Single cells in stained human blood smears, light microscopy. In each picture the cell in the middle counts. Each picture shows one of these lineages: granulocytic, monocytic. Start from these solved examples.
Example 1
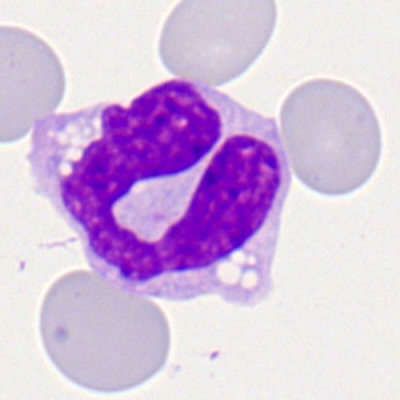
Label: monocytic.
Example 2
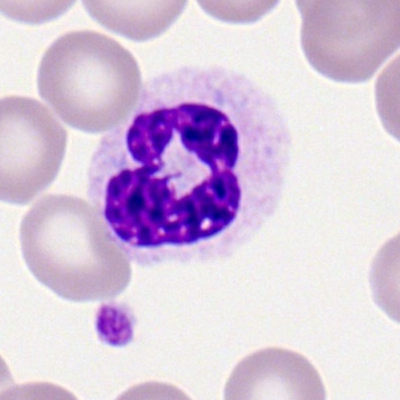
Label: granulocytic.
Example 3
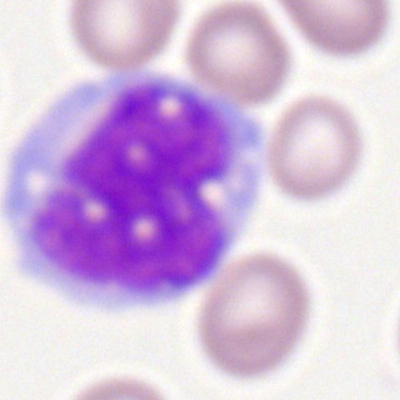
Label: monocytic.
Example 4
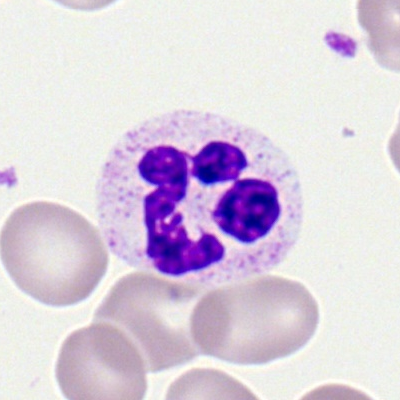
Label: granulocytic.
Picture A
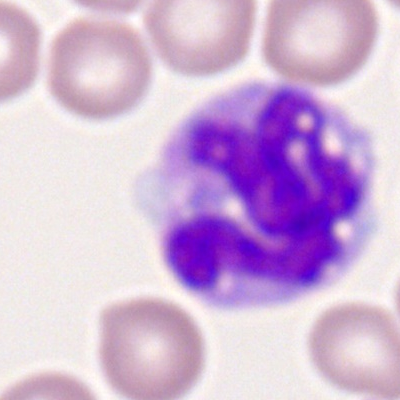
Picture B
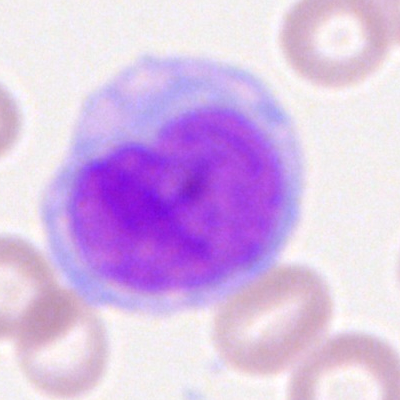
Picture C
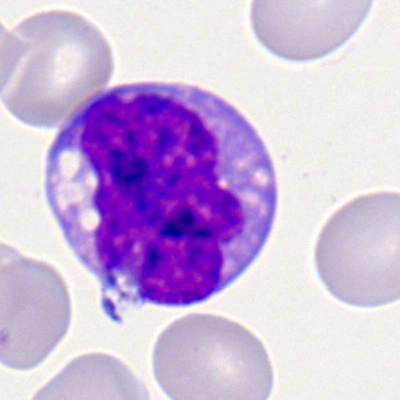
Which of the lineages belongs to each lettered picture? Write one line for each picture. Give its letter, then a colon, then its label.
A: monocytic.
B: monocytic.
C: monocytic.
